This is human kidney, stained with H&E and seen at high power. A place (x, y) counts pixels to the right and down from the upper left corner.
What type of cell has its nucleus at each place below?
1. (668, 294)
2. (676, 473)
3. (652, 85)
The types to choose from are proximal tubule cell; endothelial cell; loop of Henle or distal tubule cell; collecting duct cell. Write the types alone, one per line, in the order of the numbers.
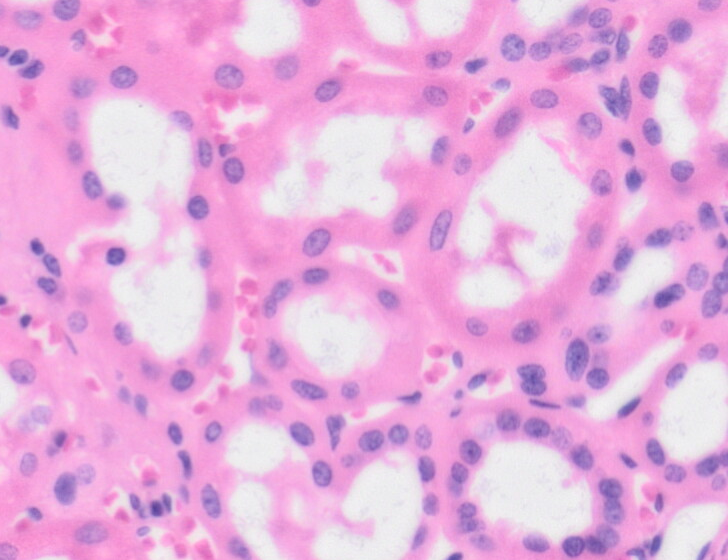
collecting duct cell
collecting duct cell
loop of Henle or distal tubule cell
